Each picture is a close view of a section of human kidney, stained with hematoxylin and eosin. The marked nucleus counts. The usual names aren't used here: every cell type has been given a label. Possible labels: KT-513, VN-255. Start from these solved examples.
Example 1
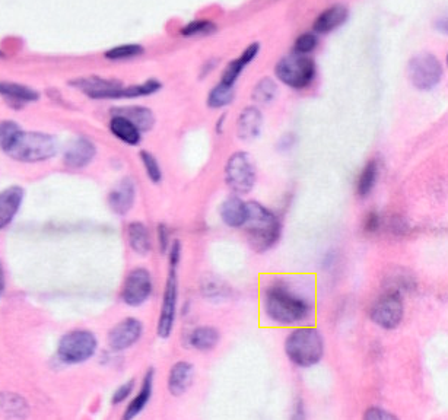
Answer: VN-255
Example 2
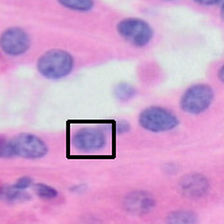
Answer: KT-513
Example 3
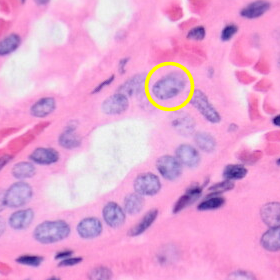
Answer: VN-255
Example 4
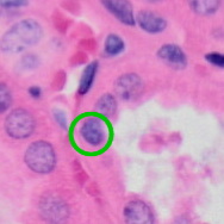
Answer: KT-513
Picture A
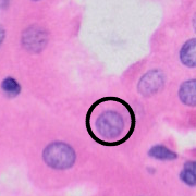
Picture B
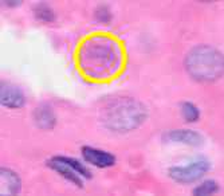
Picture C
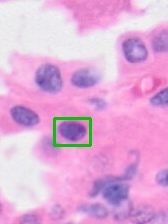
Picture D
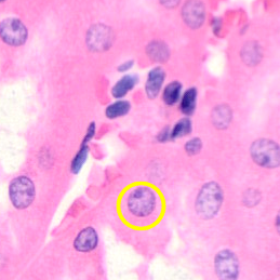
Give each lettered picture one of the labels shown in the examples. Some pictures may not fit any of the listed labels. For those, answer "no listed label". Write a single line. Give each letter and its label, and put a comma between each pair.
A no listed label, B KT-513, C KT-513, D no listed label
